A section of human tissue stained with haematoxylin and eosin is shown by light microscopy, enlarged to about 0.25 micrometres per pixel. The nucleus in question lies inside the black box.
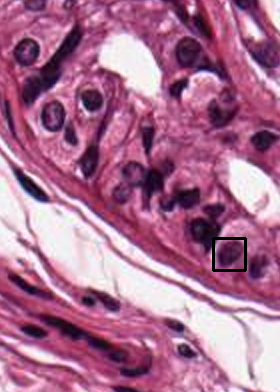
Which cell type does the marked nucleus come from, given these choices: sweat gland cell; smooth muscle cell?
sweat gland cell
